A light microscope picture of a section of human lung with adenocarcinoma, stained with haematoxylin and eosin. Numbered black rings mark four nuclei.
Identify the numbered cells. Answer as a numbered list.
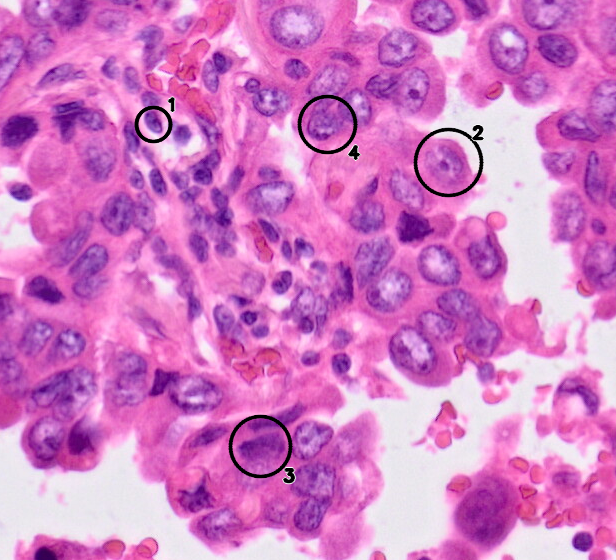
1. lymphocyte
2. carcinoma cell
3. carcinoma cell
4. carcinoma cell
